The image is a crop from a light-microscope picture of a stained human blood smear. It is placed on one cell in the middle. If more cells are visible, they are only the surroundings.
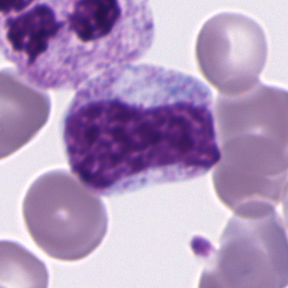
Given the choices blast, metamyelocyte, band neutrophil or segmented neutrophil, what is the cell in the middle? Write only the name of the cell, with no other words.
metamyelocyte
